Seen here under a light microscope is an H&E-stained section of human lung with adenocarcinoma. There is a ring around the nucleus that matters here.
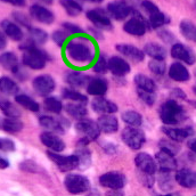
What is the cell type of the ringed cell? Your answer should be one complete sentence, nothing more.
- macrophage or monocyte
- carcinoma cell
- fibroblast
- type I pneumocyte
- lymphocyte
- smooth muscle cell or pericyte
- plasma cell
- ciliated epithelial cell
Cytologically, the ringed cell is to be regarded as a lymphocyte.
